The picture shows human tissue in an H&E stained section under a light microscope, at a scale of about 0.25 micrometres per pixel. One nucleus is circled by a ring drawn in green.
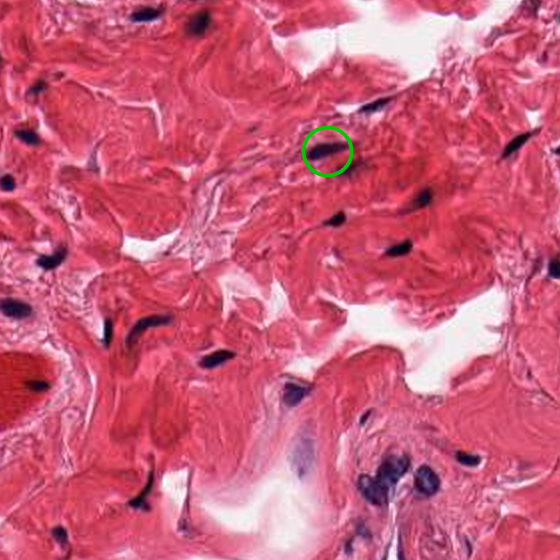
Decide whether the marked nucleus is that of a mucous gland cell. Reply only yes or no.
no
